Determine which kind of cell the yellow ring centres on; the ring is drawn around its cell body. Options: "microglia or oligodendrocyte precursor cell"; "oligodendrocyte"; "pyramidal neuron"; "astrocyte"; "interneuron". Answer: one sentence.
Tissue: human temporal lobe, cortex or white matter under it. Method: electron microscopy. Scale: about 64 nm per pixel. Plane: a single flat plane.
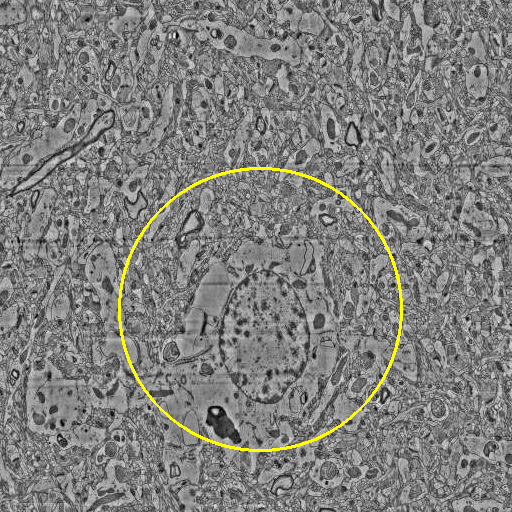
The ring centres on an astrocyte.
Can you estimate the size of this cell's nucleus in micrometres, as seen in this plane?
In this plane the nucleus measures roughly 8 by 6 micrometers.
